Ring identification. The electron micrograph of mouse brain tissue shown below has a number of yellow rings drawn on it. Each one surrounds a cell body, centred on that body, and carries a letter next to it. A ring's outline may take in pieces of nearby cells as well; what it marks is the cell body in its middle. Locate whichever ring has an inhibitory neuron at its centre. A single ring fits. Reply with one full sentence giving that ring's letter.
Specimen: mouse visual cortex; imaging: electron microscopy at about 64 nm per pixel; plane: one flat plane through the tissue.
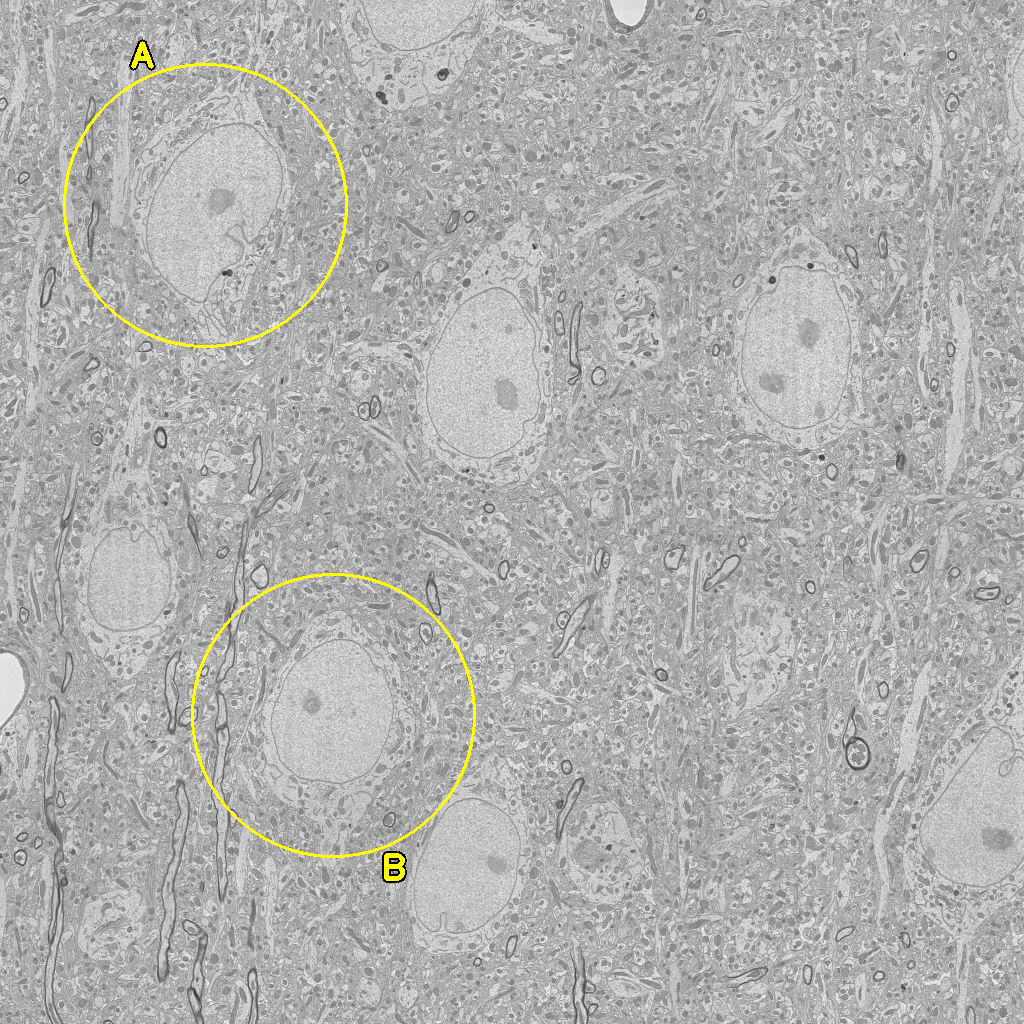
The letter A belongs to the ring centred on a cell of that kind.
